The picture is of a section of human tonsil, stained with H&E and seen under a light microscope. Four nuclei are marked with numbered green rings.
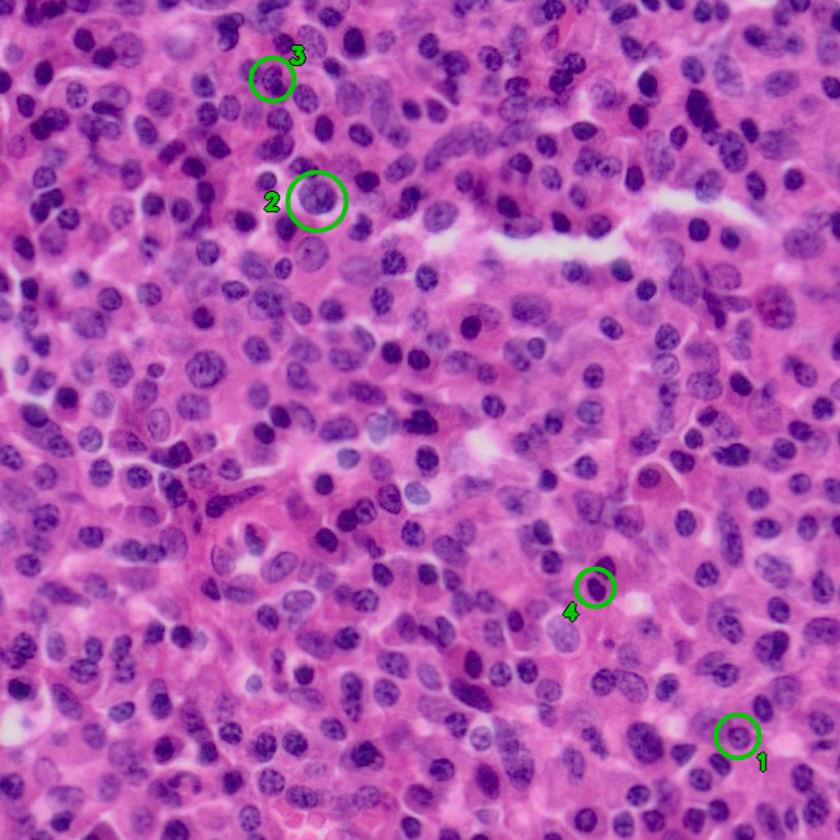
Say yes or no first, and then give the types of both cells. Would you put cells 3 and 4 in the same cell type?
Yes, the two cells, 3 and 4, are both plasma cells.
